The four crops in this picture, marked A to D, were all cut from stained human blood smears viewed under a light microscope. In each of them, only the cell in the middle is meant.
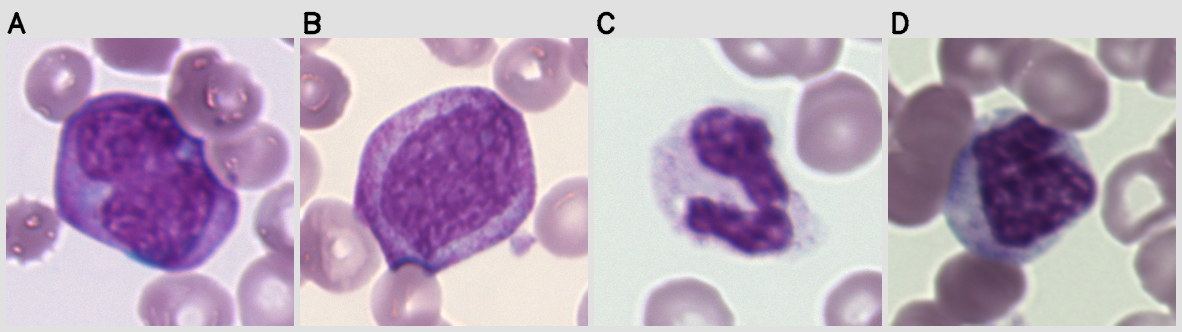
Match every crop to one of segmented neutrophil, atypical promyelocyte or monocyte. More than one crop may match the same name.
A: atypical promyelocyte
B: atypical promyelocyte
C: segmented neutrophil
D: monocyte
